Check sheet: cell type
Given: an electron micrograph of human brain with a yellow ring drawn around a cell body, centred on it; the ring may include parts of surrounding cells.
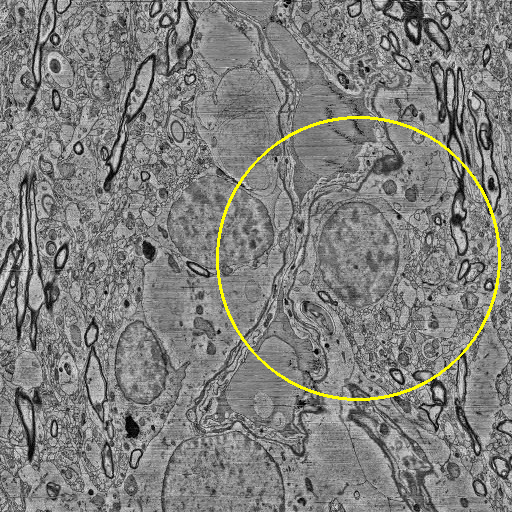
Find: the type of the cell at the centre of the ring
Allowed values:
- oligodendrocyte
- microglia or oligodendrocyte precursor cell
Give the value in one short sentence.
Here the ringed cell is an oligodendrocyte.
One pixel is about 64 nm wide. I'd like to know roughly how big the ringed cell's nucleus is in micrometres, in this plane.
In this plane, the nucleus of the cell at the centre of the ring measures about 7 by 5 micrometres.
